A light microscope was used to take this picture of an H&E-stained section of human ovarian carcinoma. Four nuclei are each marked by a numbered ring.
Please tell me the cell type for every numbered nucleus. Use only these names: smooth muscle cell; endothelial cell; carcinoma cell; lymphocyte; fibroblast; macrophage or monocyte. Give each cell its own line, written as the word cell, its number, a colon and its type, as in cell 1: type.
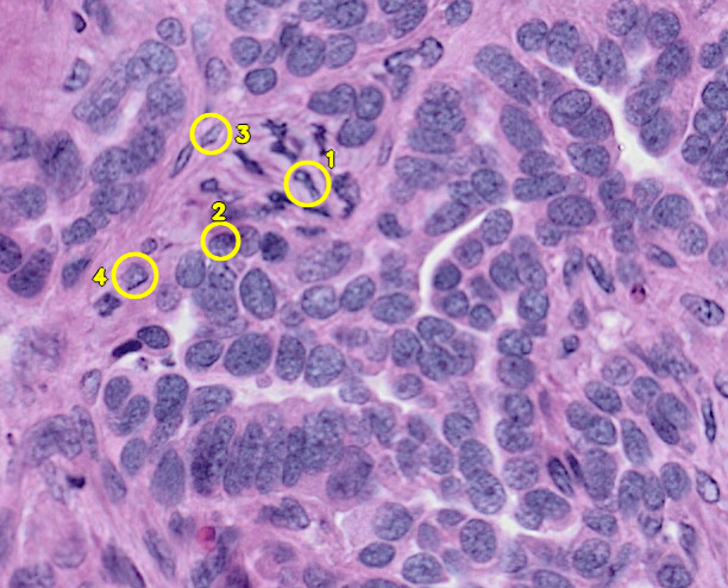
cell 1: fibroblast
cell 2: carcinoma cell
cell 3: fibroblast
cell 4: fibroblast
